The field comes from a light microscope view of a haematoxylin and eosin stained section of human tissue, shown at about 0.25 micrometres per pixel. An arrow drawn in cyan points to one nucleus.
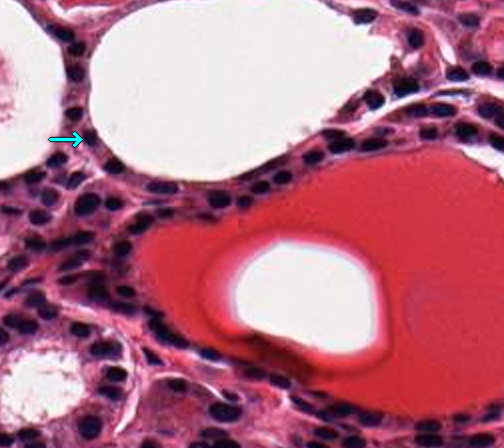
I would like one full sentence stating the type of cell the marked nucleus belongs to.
The nucleus that has been marked belongs to a thyroid follicular cell.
